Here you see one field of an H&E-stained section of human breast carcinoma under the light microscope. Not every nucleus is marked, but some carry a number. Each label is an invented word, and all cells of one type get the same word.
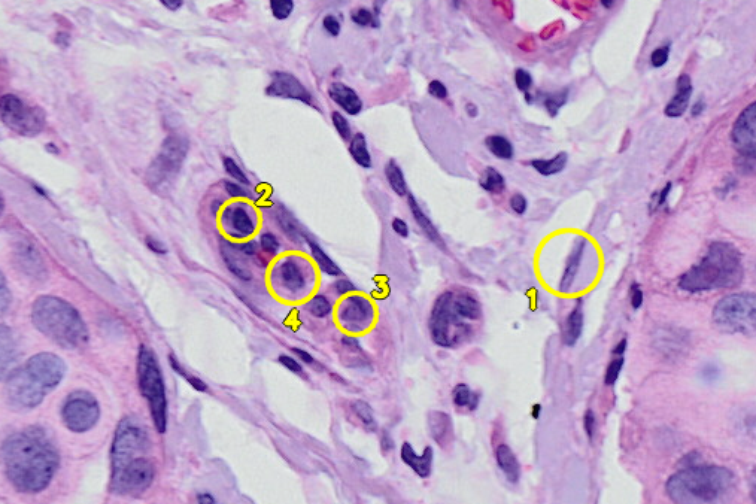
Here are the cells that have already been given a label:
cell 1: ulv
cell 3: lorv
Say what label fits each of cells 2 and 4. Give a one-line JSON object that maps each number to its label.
{"2": "lorv", "4": "lorv"}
